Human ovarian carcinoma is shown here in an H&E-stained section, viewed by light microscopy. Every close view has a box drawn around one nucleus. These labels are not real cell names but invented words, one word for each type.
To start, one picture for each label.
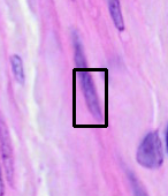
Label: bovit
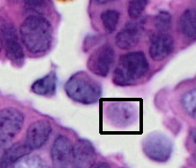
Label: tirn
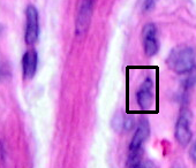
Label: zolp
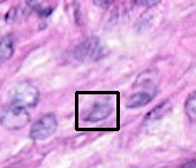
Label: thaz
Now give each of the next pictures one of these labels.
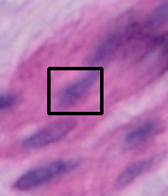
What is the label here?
bovit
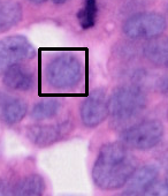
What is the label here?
tirn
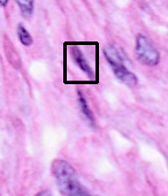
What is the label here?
thaz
